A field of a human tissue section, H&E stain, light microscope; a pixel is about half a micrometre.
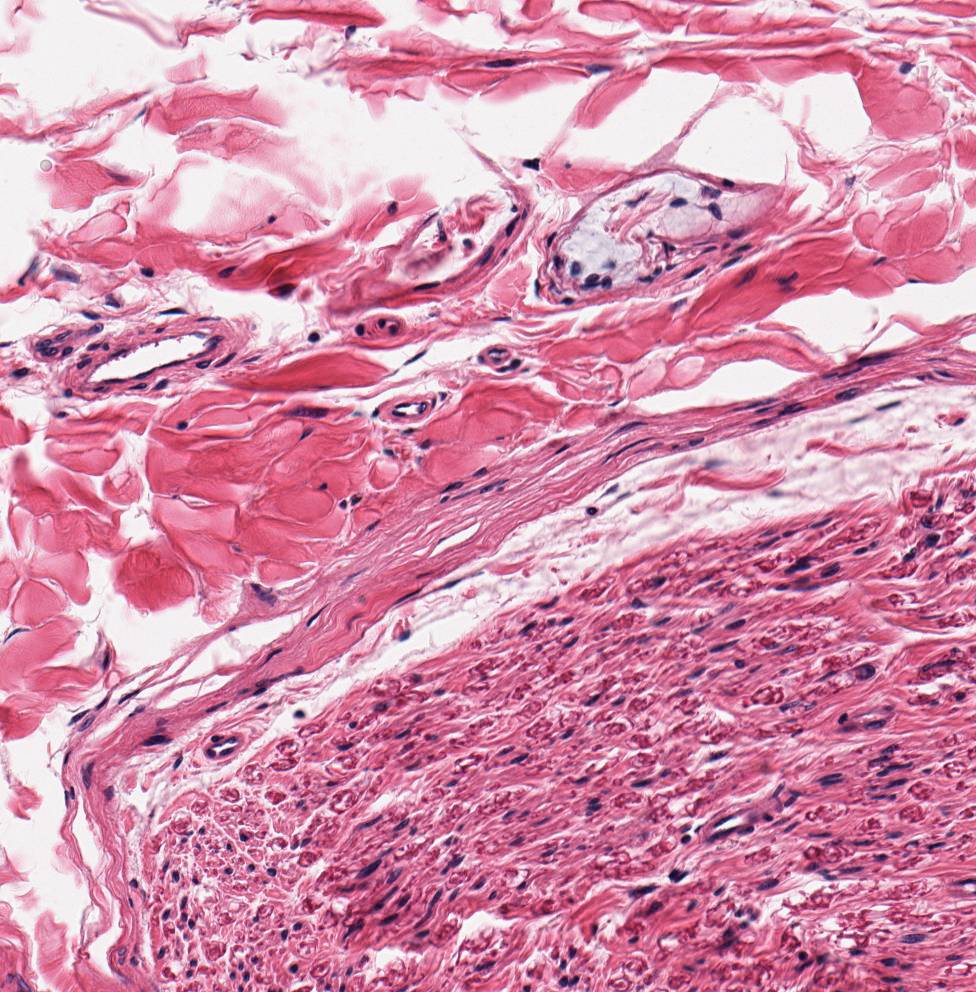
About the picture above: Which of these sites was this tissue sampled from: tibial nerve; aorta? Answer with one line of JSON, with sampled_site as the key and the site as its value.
{"sampled_site": "tibial nerve"}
